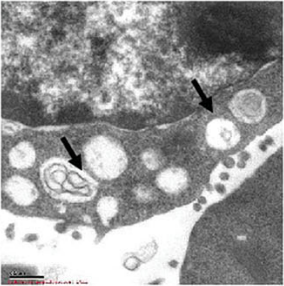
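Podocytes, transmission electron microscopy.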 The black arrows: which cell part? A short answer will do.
Autophagosomes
